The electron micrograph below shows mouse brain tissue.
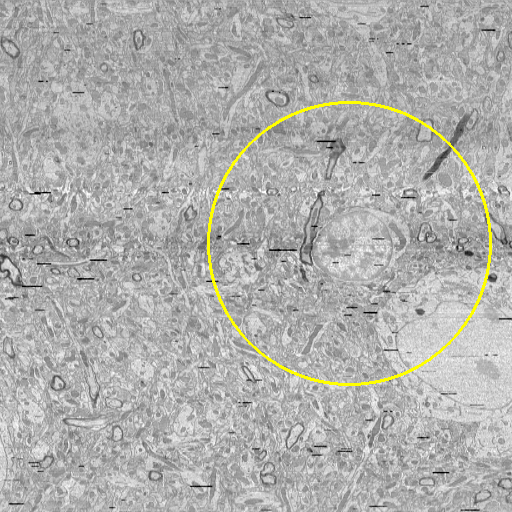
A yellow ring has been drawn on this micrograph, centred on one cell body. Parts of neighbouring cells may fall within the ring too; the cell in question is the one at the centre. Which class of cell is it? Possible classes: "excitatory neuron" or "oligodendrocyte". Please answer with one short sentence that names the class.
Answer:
In the centre of the ring sits an oligodendrocyte.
